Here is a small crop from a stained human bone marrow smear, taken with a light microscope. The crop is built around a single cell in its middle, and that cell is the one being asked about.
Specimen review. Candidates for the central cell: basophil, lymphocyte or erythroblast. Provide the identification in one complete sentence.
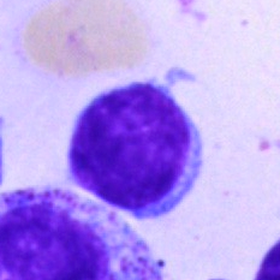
The cell around which this crop is centred is a lymphocyte.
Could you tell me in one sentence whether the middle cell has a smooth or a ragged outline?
The cell margin is rough and uneven, either ragged or drawn into projections.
